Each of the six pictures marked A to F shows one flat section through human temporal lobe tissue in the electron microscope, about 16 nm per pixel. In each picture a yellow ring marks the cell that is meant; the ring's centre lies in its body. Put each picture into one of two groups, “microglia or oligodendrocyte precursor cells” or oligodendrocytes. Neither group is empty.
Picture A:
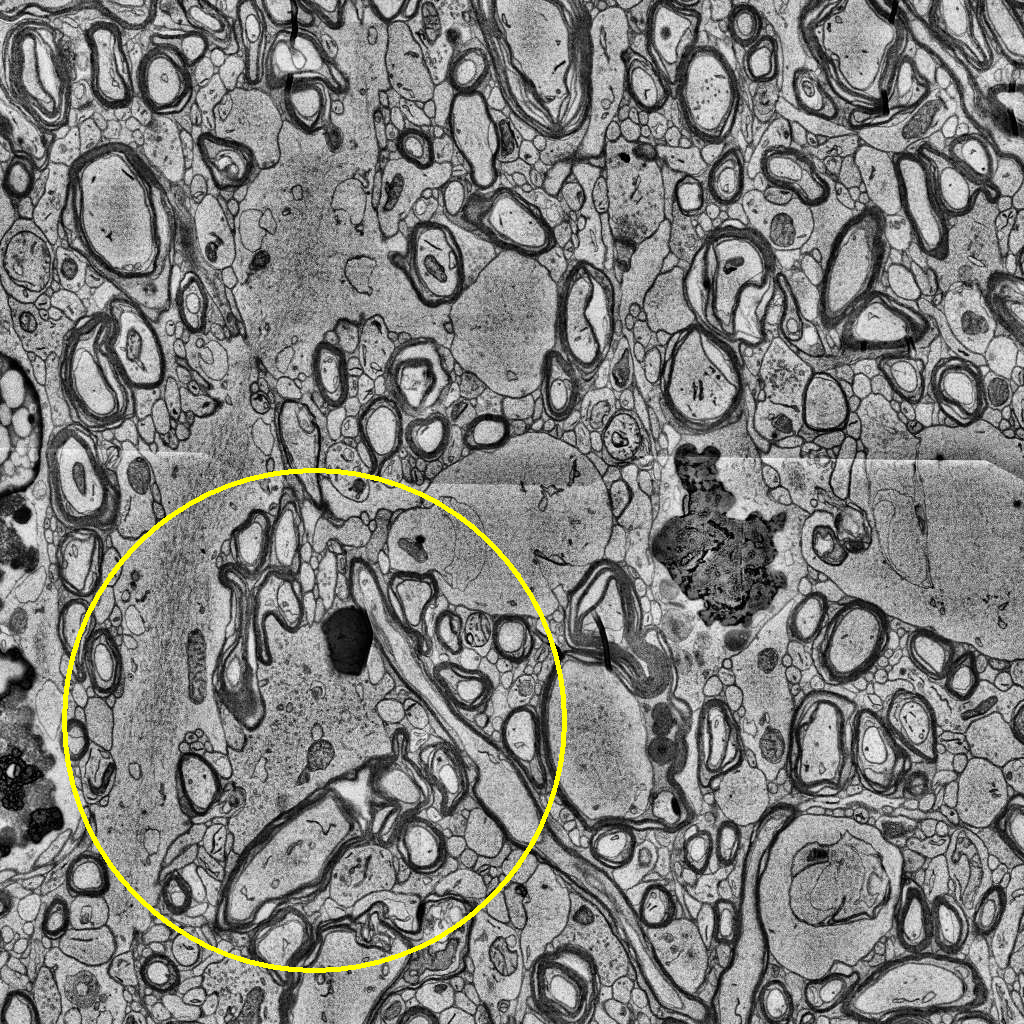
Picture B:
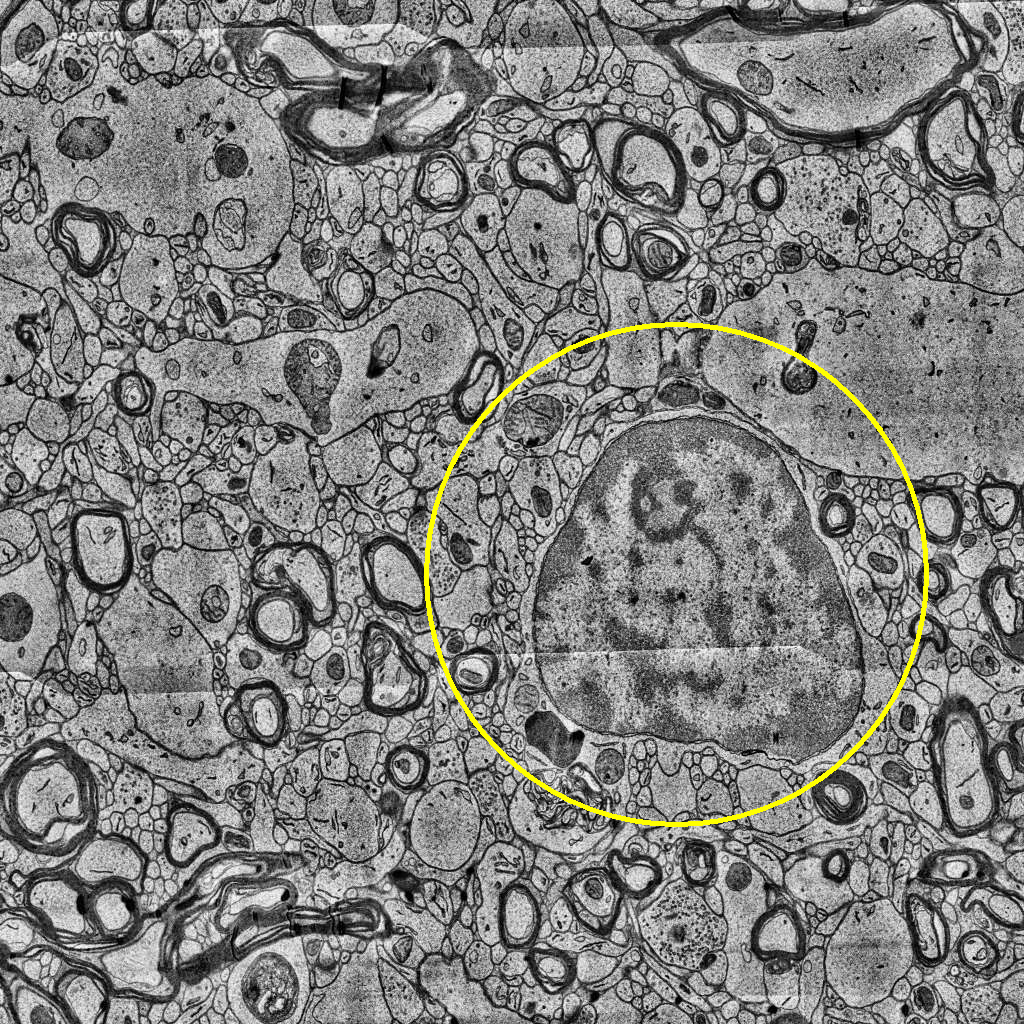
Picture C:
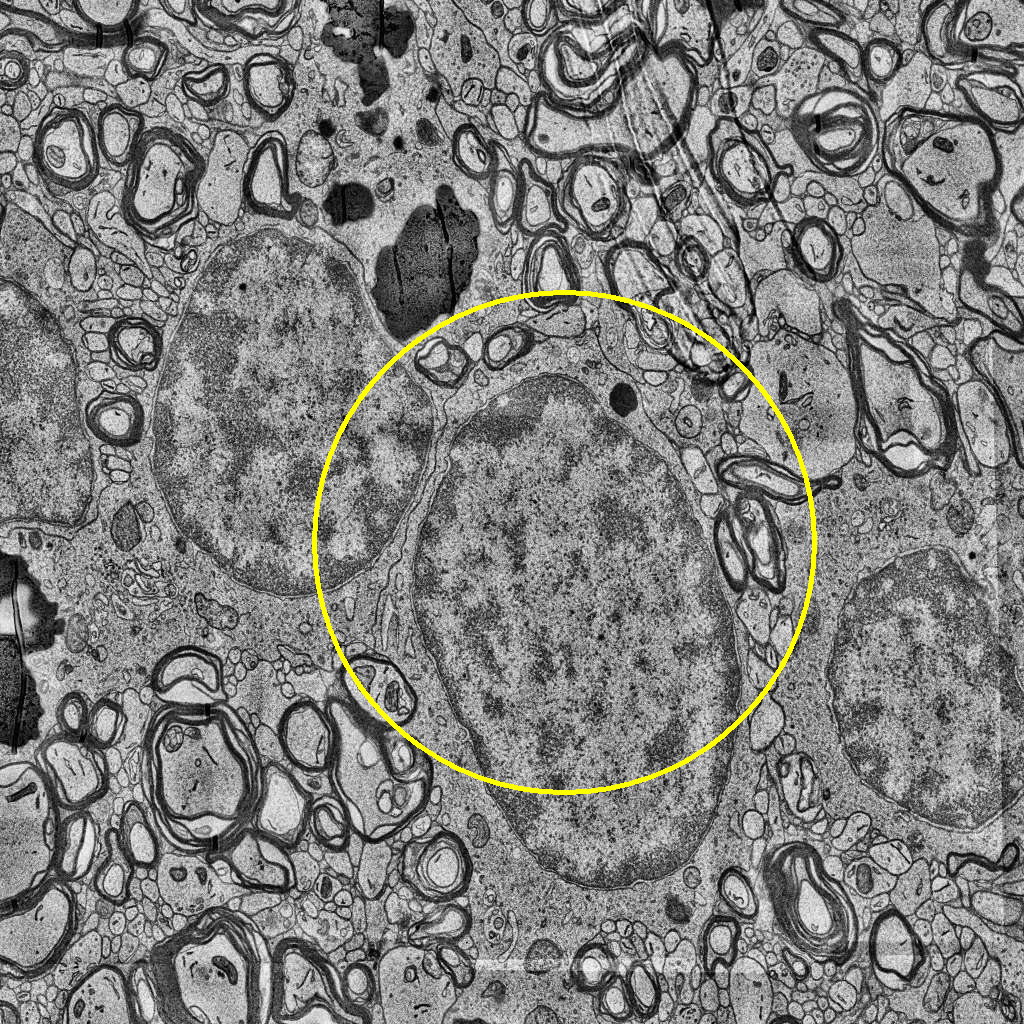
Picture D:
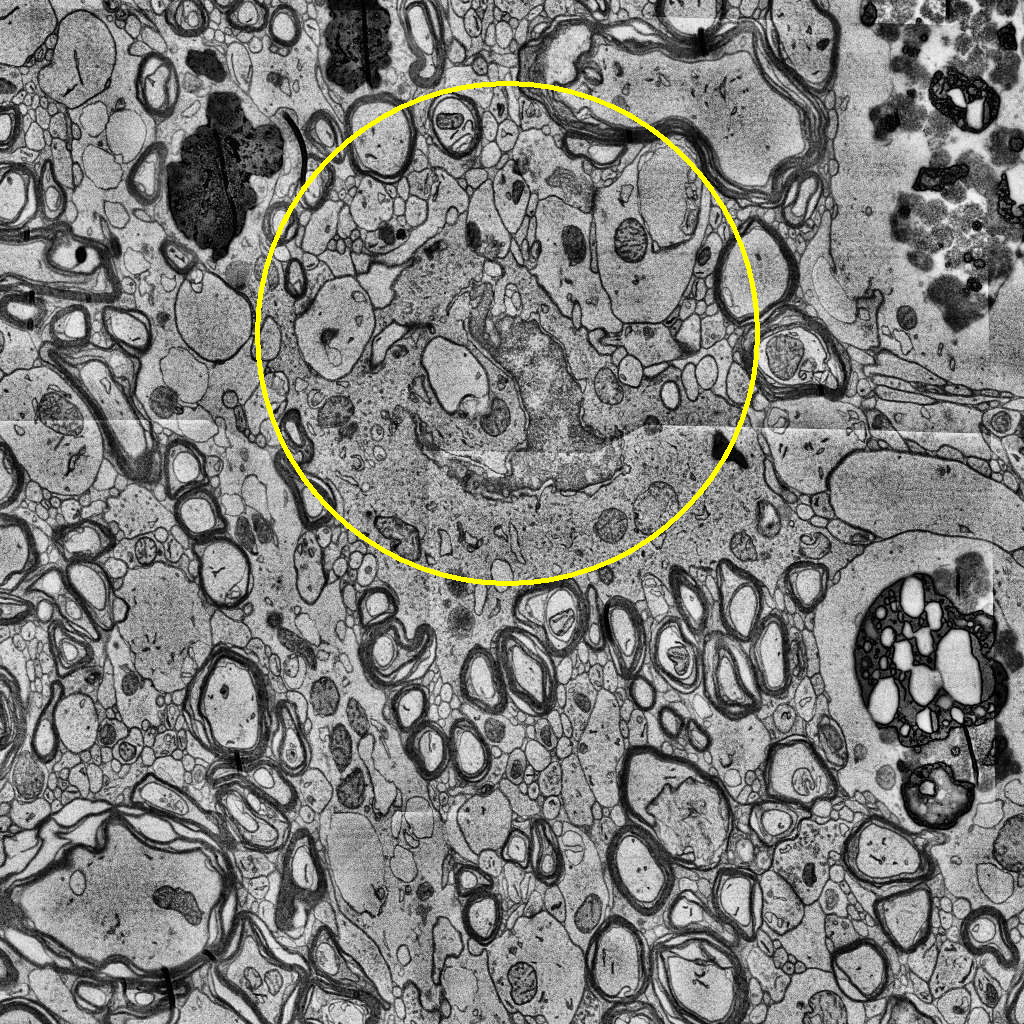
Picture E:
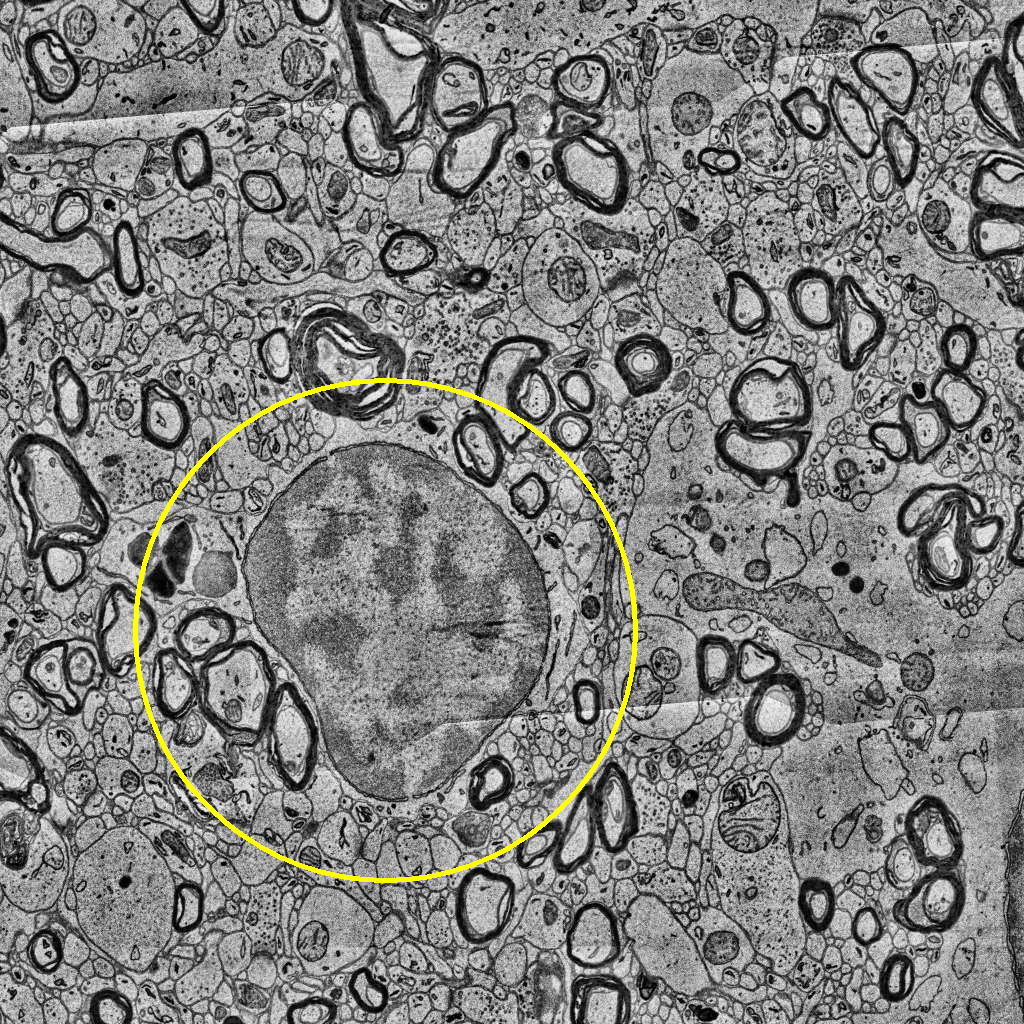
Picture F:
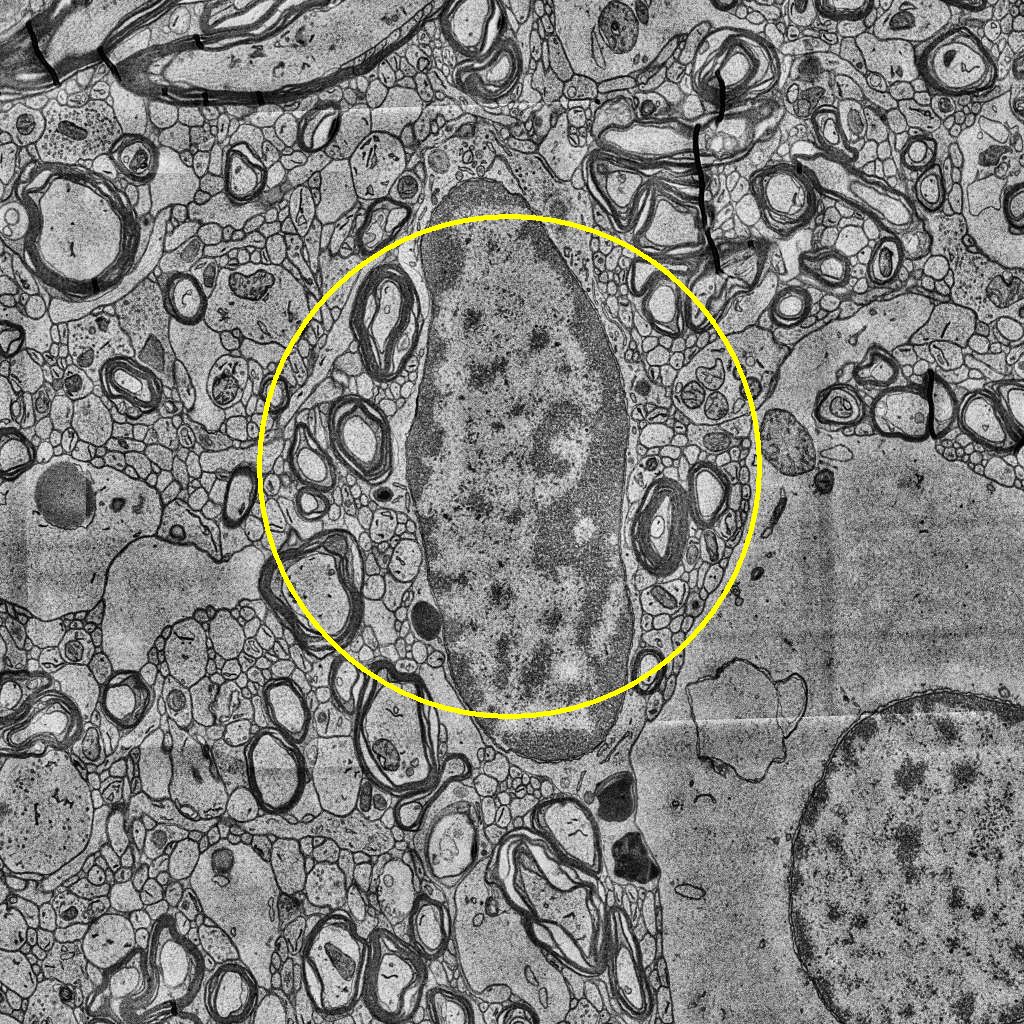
Pictures B, E and F show “microglia or oligodendrocyte precursor cells”; pictures A, C and D show oligodendrocytes.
